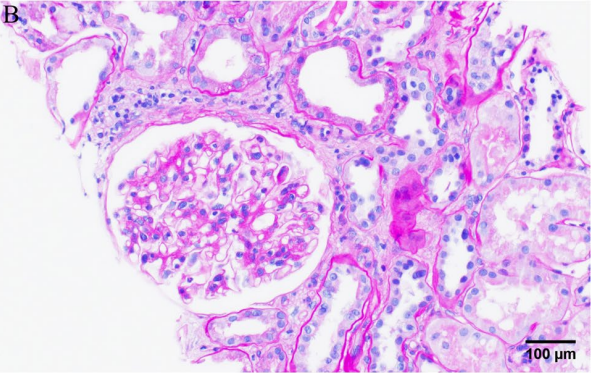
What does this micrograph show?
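A single glomerulus is seen in kidney cortex, a rounded tuft of open capillary loops with a moderate number of nuclei, enclosed by Bowman's capsule with a clear urinary space around it. The capillary walls and mesangial areas stain magenta, and no segment of the tuft is scarred or solidified. Around it lie cross-sectioned tubules with magenta basement membranes, pale cuboidal lining cells and some dark magenta material in one tubule. A small cluster of interstitial cells with dark nuclei lies beside the capsule.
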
